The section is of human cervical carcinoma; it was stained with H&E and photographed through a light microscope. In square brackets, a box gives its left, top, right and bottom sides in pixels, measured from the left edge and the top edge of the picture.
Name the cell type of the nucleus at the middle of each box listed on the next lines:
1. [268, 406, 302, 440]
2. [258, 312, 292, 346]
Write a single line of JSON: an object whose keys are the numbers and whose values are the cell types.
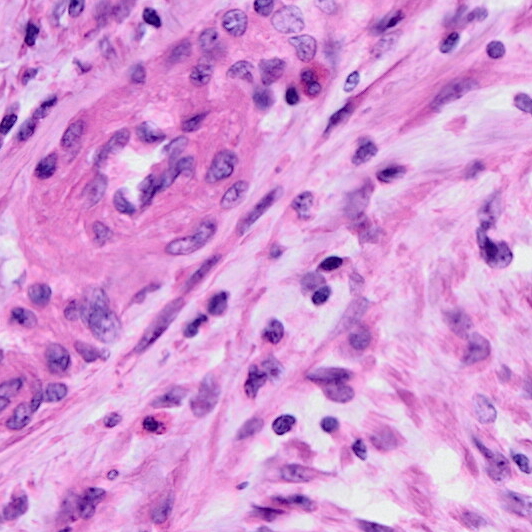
{"1": "lymphocyte", "2": "macrophage or monocyte"}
